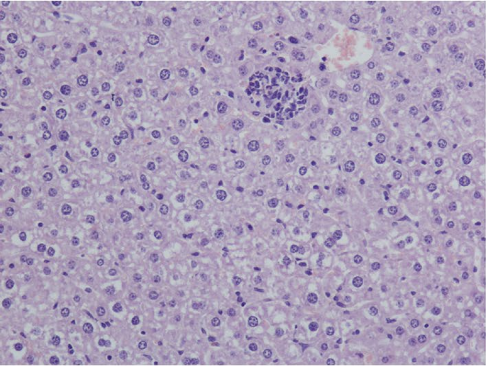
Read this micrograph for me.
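This is liver with large polygonal hepatocytes that have round central nuclei with visible nucleoli and pale pink, finely granular cytoplasm. Near the top lies a compact cluster of small cells with dark round nuclei, a focus of inflammatory cells among otherwise intact hepatocytes. Next to it a small vessel holds red blood cells. No loss of hepatocytes is evident around the focus.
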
